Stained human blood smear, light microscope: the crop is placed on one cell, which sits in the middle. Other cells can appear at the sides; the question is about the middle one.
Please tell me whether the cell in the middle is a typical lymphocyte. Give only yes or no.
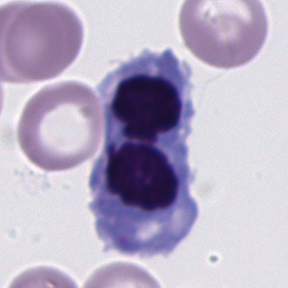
no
